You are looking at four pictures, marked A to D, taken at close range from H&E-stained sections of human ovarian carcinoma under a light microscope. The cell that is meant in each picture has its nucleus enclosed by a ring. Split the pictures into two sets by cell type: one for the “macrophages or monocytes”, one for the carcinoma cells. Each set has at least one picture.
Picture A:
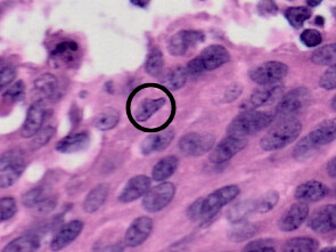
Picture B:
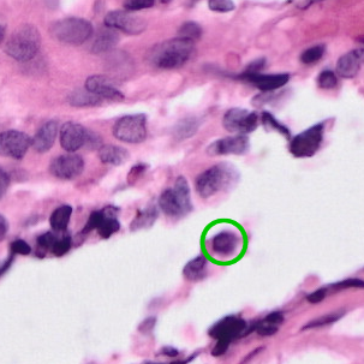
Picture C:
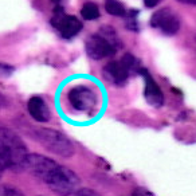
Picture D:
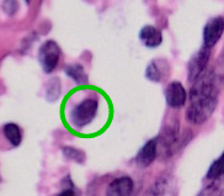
A: macrophage or monocyte
B: carcinoma cell
C: macrophage or monocyte
D: carcinoma cell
